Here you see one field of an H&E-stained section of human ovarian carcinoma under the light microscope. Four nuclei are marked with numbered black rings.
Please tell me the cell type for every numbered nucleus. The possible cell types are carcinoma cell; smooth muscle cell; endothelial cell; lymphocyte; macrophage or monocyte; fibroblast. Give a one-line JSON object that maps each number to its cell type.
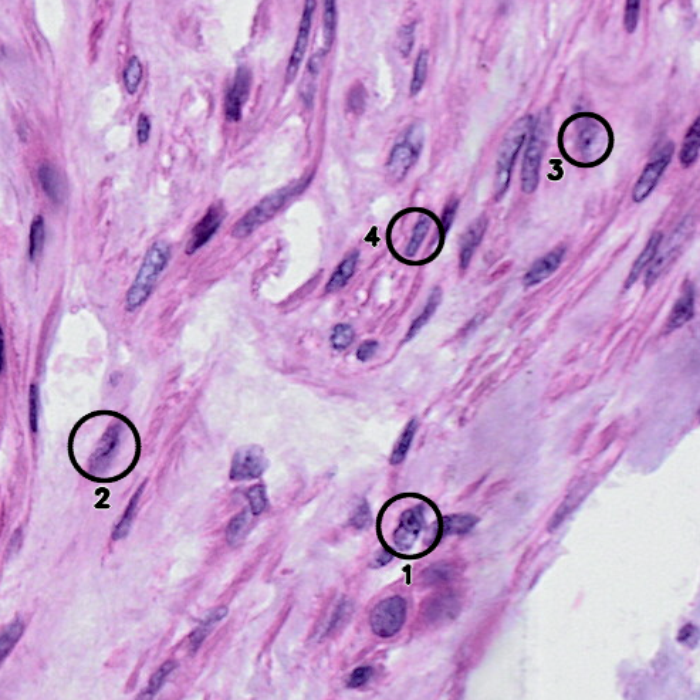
{"1": "macrophage or monocyte", "2": "fibroblast", "3": "fibroblast", "4": "fibroblast"}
